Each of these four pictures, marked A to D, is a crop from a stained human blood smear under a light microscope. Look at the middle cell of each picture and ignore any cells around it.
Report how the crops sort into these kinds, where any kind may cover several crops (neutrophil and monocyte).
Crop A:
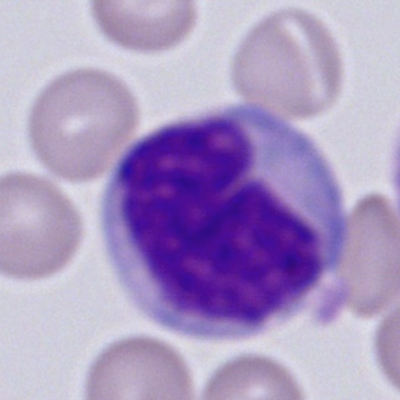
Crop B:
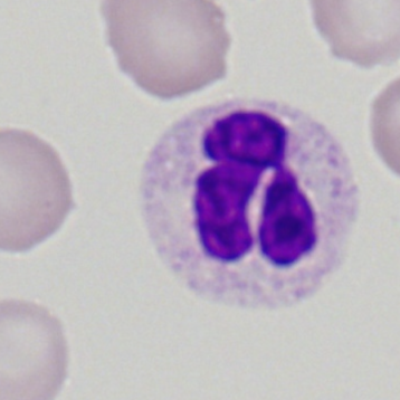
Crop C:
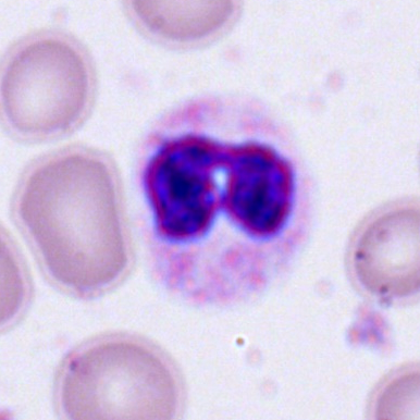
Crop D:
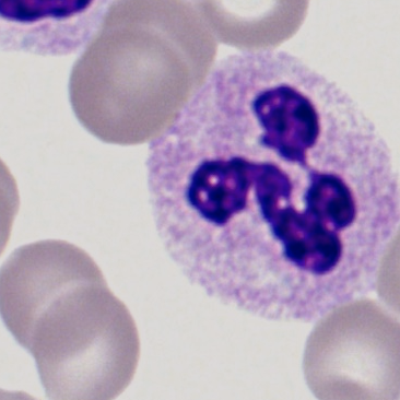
A: monocyte
B: neutrophil
C: neutrophil
D: neutrophil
